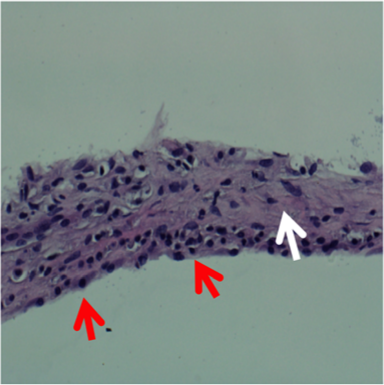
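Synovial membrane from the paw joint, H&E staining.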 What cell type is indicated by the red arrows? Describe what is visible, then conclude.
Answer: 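The arrows point to cells with dark nuclei at the lower surface of the tissue band. The cells lie along the edge facing the empty space.
Answer: synoviocyte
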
